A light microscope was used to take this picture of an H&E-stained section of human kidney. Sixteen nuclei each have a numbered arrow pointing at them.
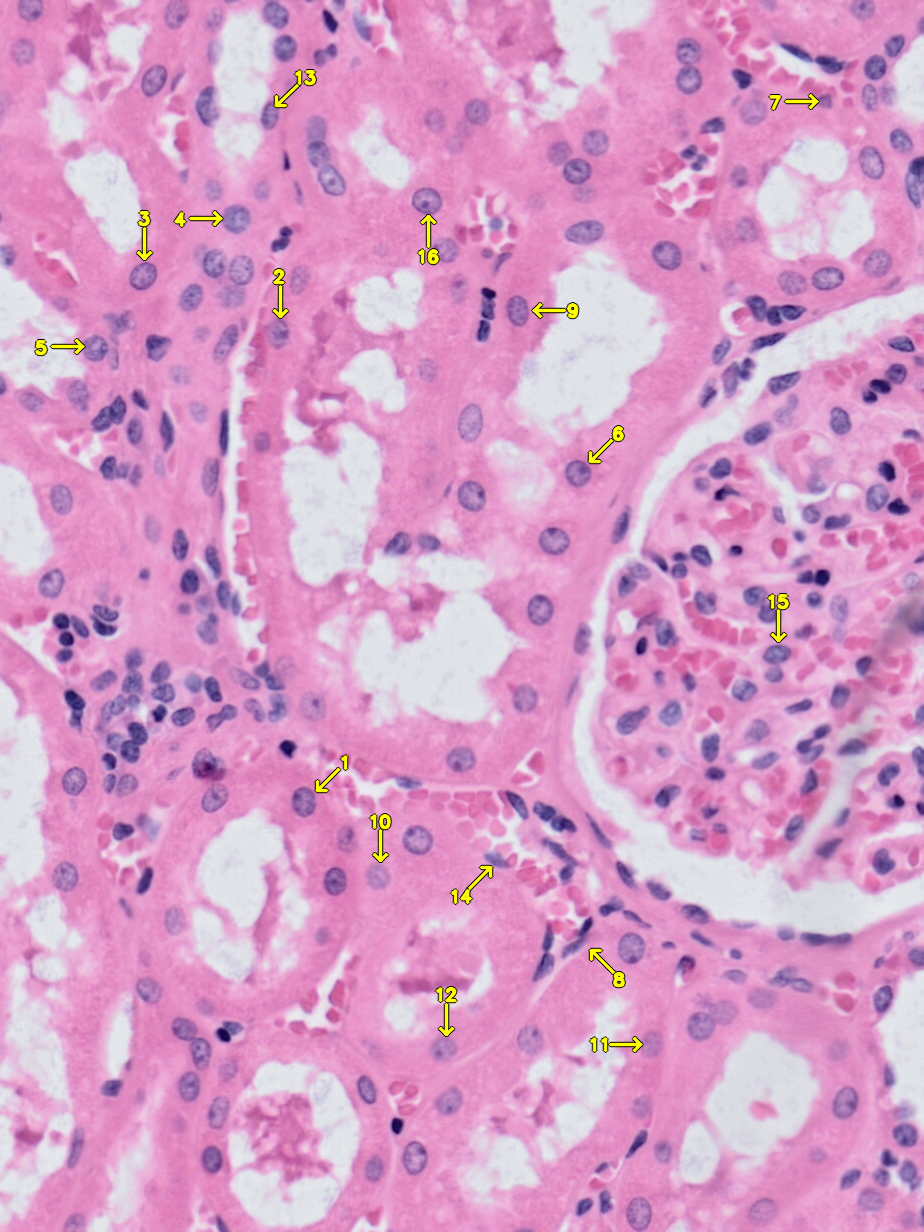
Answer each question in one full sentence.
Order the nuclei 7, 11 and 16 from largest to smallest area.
From largest to smallest, the order is 16, 11, 7.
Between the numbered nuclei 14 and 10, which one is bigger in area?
Number 10 is larger; its area is about 1.5 times that of number 14.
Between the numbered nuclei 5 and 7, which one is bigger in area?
Nucleus 5 is larger, with an area about 2.5 times that of nucleus 7.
